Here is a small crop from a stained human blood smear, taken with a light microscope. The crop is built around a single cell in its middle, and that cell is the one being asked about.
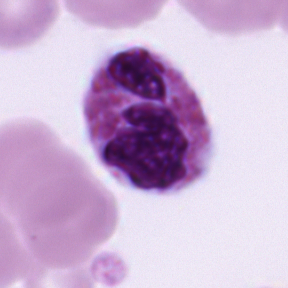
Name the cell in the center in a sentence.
Occupying the centre of the crop is an eosinophil.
